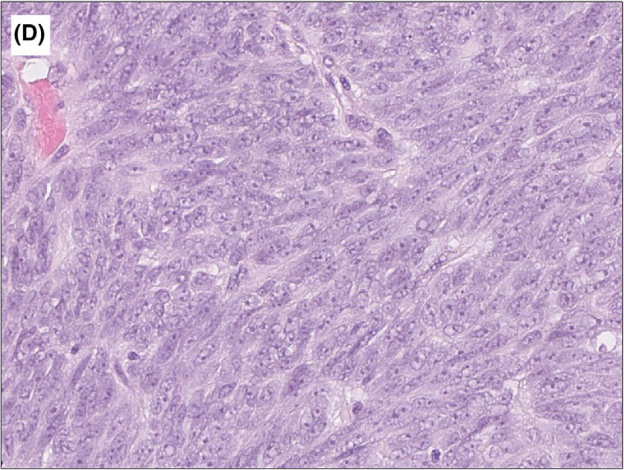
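The nuclei are oval to elongated, pale and vesicular, with fine chromatin and small central nucleoli. They are similar to one another, showing mild to moderate atypia. The cytoplasm is pale violet-pink with indistinct cell borders. A small blood vessel filled with red blood cells lies in the upper left corner, and thin strands of stroma run between the cells. Mitotic figures are not obvious.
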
